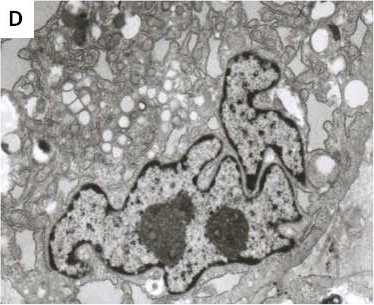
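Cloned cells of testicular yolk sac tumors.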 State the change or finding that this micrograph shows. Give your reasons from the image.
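The large nucleus has a deeply folded, lobulated outline. Dark chromatin lines the inner nuclear envelope. Two large nucleoli lie inside the nucleus.
Answer: irregular nuclear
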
